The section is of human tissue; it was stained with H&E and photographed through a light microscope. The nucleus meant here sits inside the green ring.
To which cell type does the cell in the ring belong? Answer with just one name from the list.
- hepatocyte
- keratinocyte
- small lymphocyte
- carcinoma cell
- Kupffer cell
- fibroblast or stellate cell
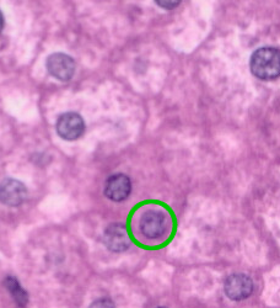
hepatocyte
